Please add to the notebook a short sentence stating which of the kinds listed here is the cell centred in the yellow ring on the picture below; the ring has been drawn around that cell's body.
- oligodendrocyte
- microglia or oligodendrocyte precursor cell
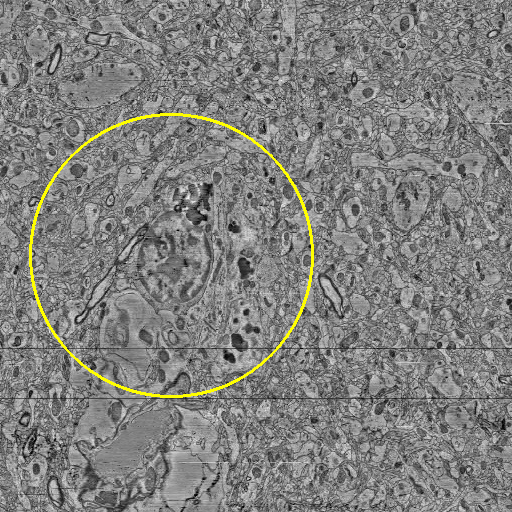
The cell centred in the yellow ring is an oligodendrocyte.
